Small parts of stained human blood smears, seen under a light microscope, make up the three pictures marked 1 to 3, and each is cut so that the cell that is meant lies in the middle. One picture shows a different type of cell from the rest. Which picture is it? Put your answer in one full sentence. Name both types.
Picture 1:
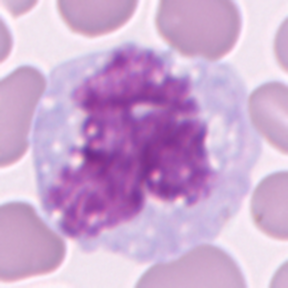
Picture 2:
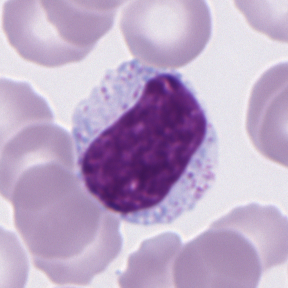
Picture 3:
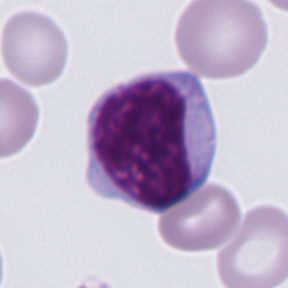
Picture 1 differs, because its cell is a monocyte and the rest are large granular lymphocytes.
